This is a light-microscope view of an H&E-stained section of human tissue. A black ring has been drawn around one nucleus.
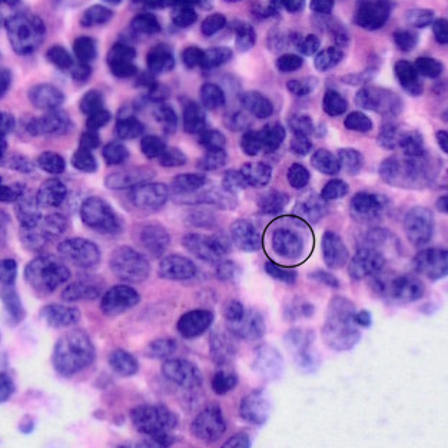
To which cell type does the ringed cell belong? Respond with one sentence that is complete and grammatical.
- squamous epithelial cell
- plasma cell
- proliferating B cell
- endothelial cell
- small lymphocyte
The identity of the ringed cell is that of a proliferating B cell.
